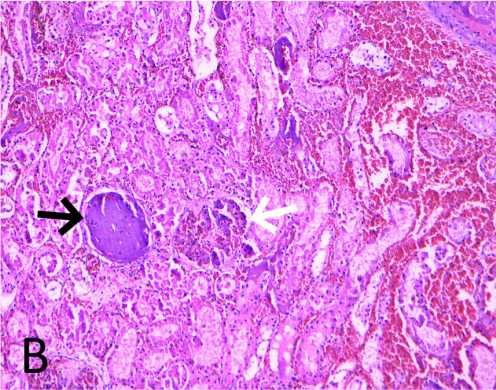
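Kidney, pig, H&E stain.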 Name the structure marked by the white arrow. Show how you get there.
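A rounded tuft of capillaries with red blood cells lies among the tubules. The space around the tuft is narrow.
Hence: glomerulus.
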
